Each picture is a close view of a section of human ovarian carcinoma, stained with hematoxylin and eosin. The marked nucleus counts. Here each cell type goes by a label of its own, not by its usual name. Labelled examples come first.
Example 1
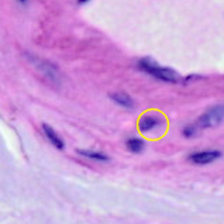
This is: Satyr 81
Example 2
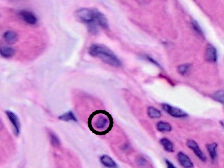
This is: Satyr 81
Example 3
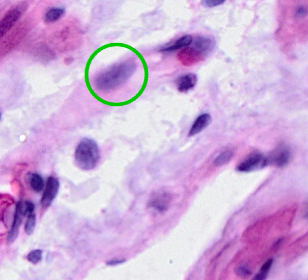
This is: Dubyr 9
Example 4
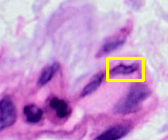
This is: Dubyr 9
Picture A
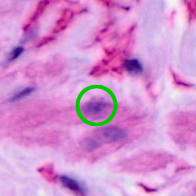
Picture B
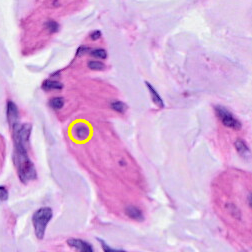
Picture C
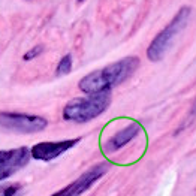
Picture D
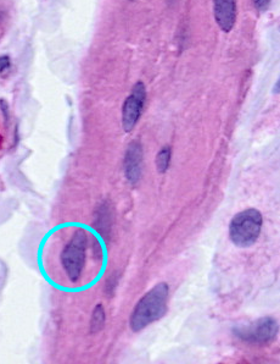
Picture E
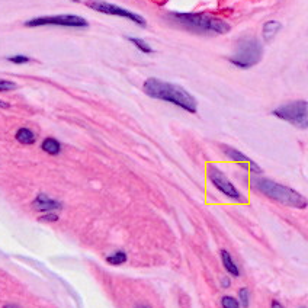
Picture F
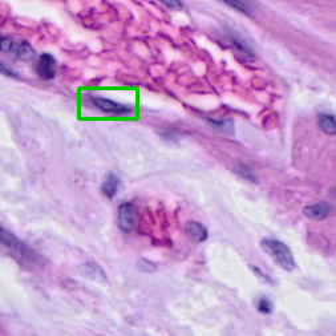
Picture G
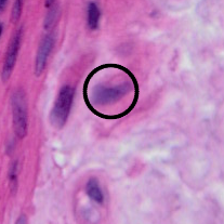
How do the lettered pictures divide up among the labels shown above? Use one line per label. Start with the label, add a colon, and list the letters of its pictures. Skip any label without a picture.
Satyr 81: A, B, C, D, E, G
Dubyr 9: F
